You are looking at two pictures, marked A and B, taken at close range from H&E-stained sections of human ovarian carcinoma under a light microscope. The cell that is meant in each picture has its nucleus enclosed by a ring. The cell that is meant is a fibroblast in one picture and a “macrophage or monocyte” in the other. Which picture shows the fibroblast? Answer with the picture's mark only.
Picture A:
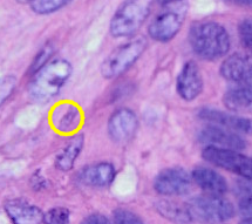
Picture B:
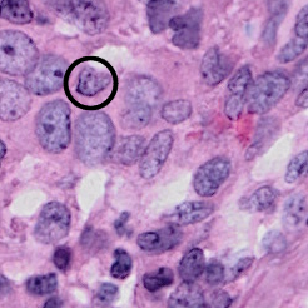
A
